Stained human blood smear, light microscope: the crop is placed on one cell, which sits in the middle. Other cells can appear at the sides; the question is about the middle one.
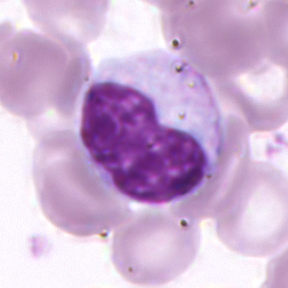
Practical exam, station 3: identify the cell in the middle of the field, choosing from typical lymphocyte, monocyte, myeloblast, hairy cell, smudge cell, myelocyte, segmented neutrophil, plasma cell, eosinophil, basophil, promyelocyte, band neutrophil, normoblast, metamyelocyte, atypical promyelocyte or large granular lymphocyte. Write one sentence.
Standing at the centre of this crop is a metamyelocyte.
